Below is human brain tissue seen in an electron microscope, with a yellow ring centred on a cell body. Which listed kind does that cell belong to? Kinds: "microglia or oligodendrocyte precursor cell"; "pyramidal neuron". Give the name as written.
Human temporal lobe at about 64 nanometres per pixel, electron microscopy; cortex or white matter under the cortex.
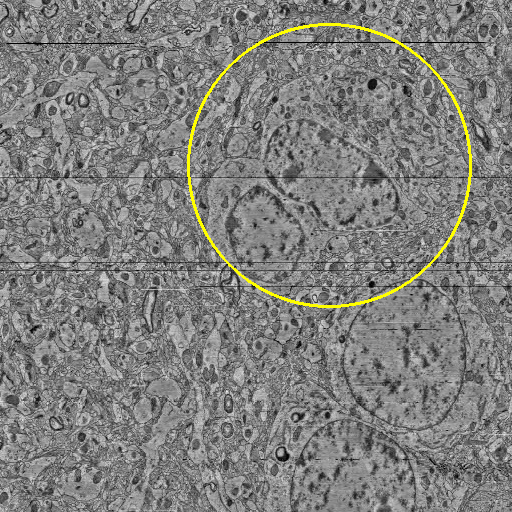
microglia or oligodendrocyte precursor cell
